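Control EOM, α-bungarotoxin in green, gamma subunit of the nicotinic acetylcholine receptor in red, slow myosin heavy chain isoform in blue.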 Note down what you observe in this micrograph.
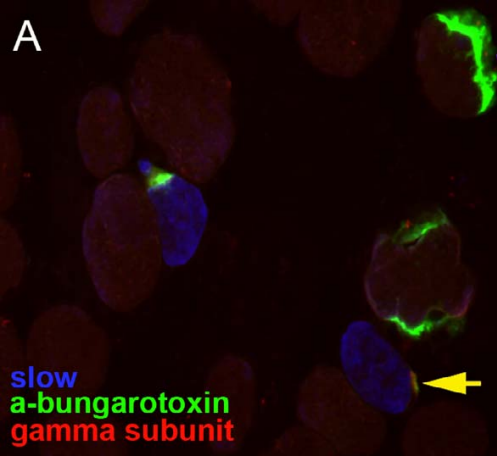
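The fibers appear as rounded to oval profiles with faint reddish background, separated by dark interstitial space; a few fibers are filled with blue. Curved, band-like green deposits lie along the surface of several unstained fibers, the longest and most branched at upper right.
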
